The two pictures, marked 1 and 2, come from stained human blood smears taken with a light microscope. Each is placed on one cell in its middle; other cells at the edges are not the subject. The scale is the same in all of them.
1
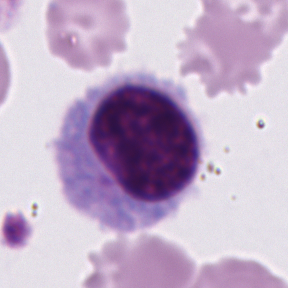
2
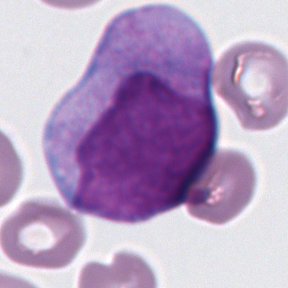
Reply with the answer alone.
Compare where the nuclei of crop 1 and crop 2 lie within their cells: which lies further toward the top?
1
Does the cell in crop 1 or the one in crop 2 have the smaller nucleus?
1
